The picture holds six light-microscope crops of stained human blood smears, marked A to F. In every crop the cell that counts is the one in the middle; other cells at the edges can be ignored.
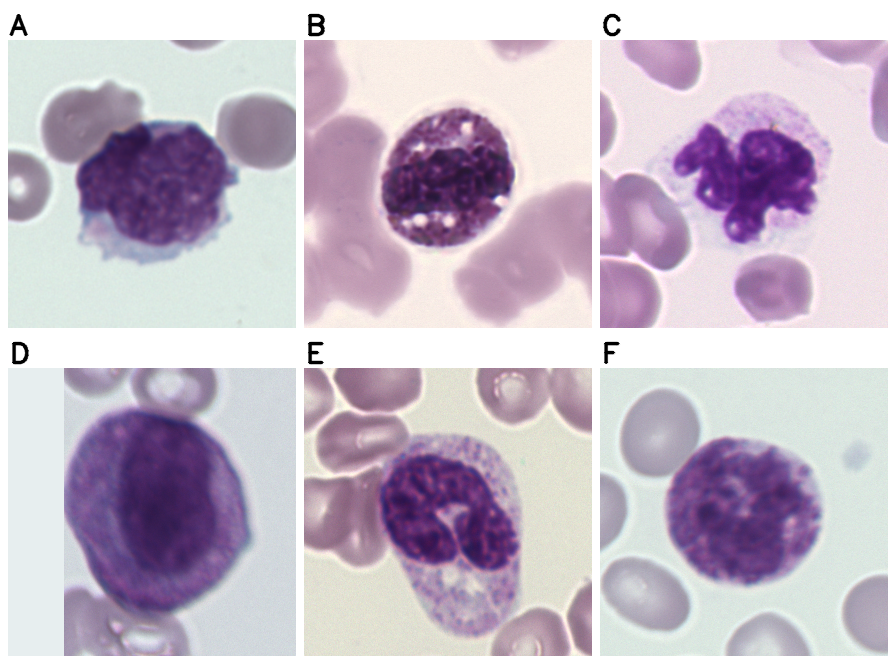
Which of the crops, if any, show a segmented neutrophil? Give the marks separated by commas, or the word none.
C, E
